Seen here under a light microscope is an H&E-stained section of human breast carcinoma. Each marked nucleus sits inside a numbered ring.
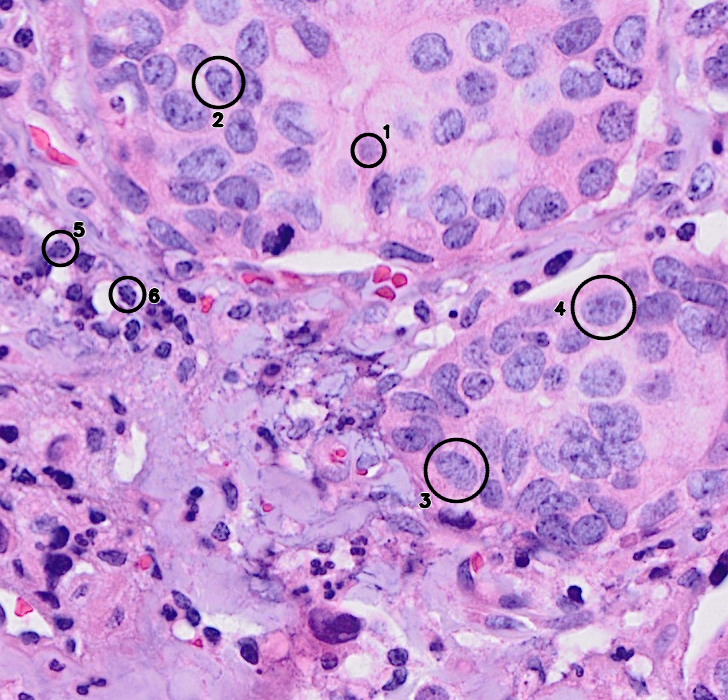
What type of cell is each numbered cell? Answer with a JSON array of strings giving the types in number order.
["carcinoma cell", "carcinoma cell", "carcinoma cell", "carcinoma cell", "lymphocyte", "lymphocyte"]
